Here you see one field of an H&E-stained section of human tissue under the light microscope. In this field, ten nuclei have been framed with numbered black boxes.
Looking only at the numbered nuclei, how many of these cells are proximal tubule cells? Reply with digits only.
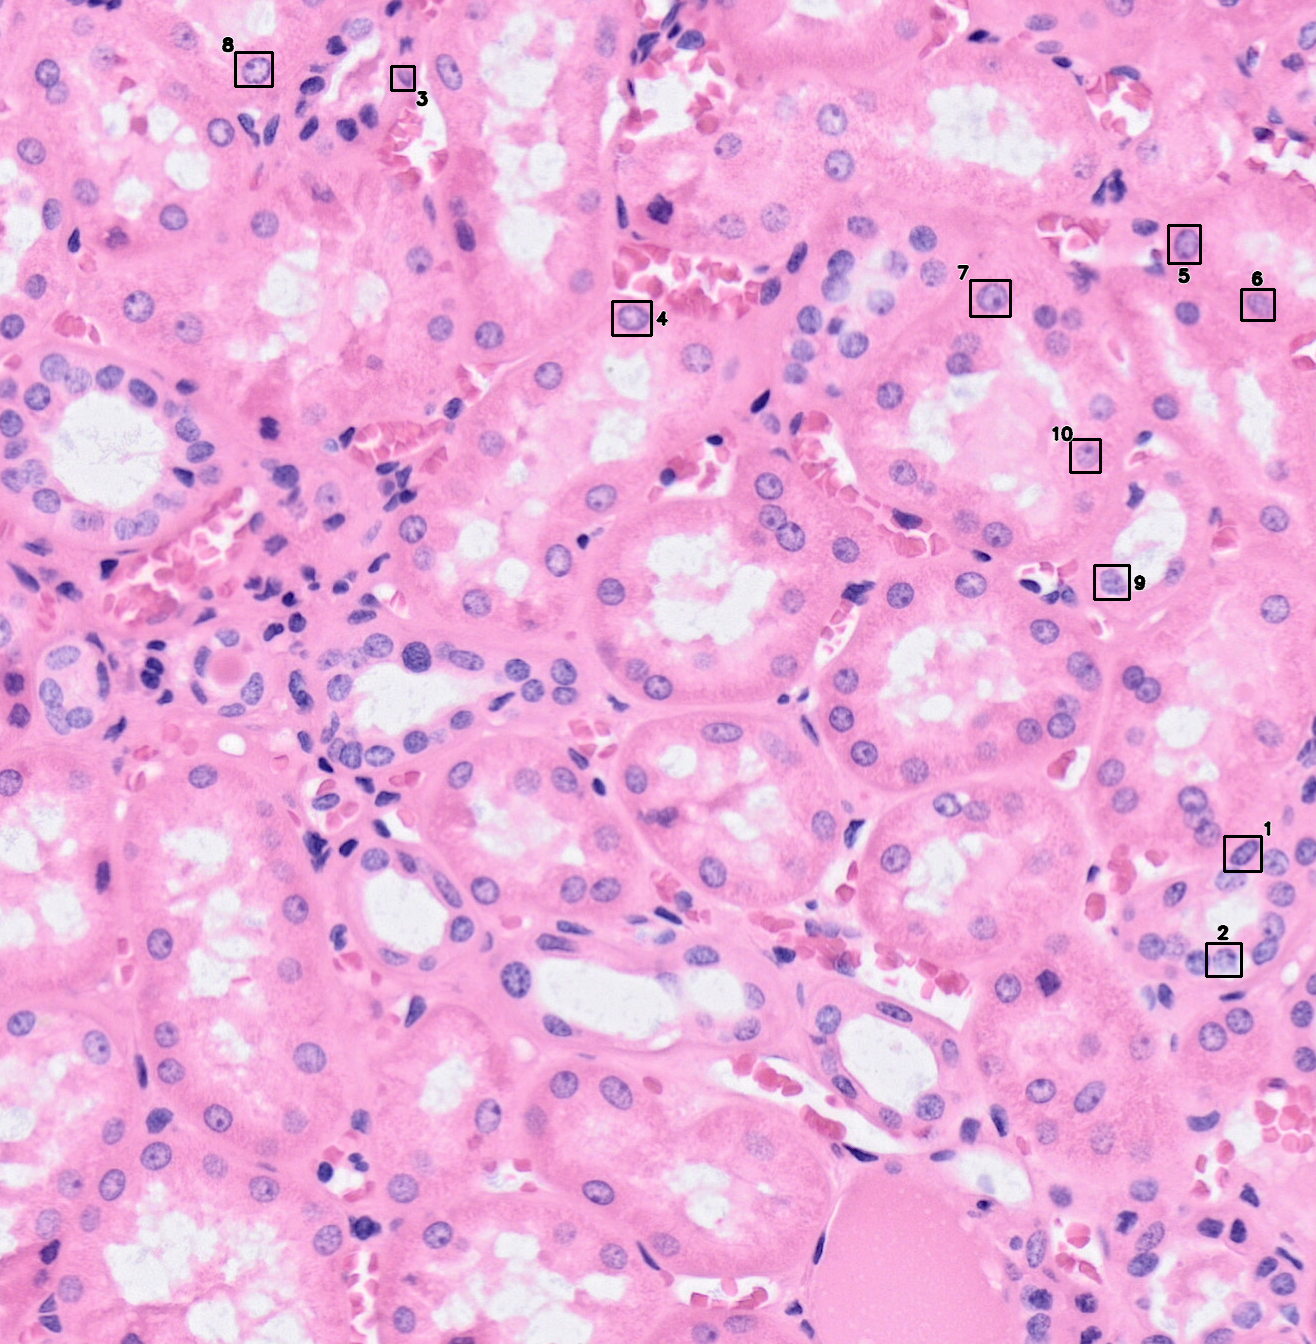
6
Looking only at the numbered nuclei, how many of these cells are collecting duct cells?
3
